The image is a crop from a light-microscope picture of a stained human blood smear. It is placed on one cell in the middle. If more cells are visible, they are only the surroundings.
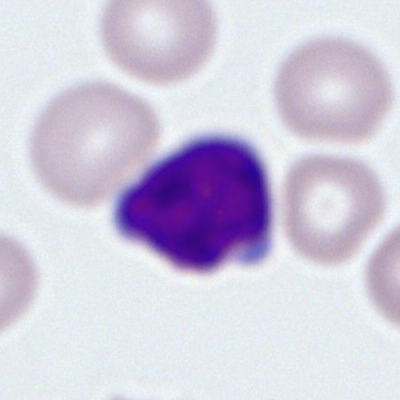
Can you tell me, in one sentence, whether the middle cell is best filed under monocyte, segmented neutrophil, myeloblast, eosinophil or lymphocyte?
Classified as a lymphocyte is the cell in the middle of this crop.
